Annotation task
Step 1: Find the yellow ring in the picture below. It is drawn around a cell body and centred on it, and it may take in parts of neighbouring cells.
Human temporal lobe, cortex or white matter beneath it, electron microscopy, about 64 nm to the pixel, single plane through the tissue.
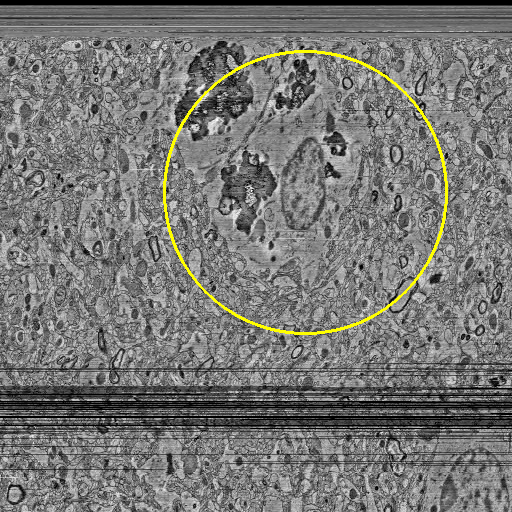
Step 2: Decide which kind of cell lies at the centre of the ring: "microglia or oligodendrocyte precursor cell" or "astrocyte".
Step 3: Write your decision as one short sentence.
The kind of cell at the ring's centre is an astrocyte.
